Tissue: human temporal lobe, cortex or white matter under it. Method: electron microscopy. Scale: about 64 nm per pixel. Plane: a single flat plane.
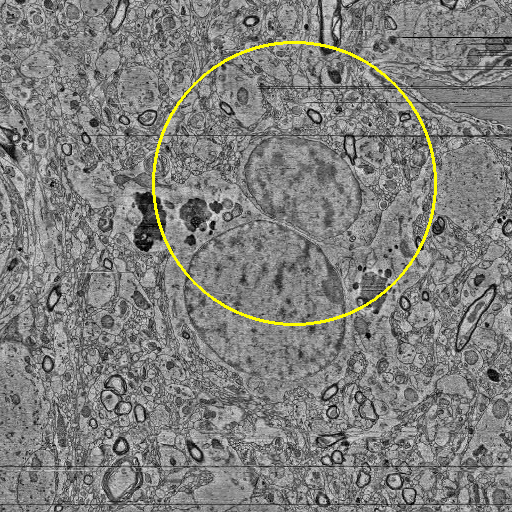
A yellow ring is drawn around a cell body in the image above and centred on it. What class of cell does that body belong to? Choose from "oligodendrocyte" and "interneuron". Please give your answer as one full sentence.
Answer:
The yellow ring above is centred on the cell body of an oligodendrocyte.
